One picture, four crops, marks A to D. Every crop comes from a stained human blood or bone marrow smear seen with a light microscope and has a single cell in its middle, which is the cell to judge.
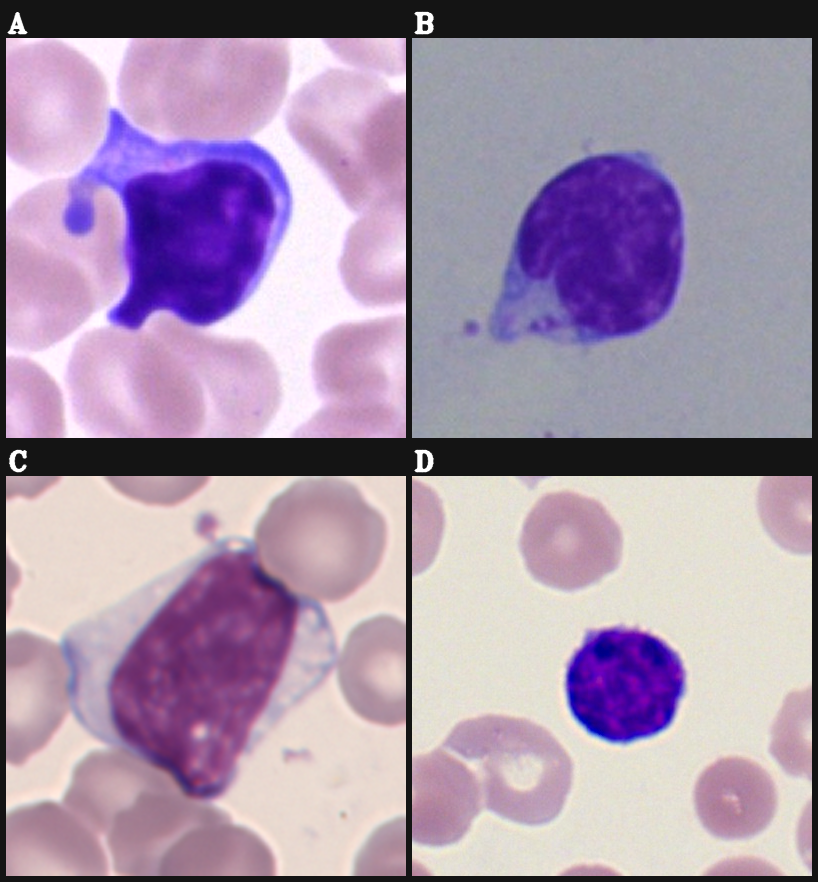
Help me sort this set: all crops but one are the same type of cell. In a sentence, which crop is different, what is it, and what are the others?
The single exception among the crops is crop C, which is a blast; the rest show lymphocytes.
